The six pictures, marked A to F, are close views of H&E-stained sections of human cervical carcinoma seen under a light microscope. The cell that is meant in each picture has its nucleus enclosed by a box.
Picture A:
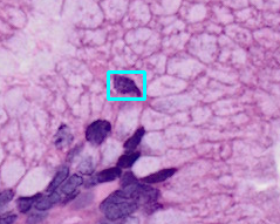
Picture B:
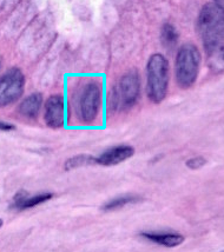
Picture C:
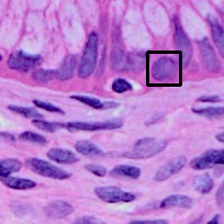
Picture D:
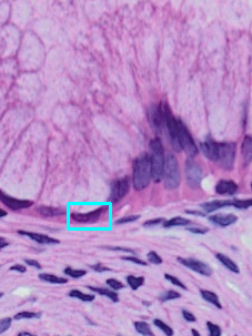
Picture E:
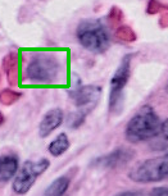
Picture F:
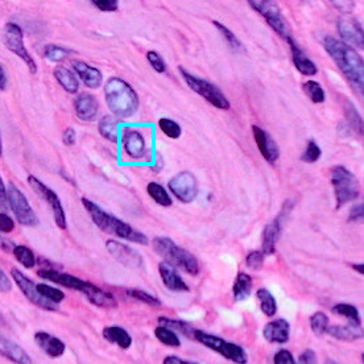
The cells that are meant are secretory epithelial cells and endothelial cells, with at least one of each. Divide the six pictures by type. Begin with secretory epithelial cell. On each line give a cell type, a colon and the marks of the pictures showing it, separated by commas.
secretory epithelial cell: A, B, C, D
endothelial cell: E, F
